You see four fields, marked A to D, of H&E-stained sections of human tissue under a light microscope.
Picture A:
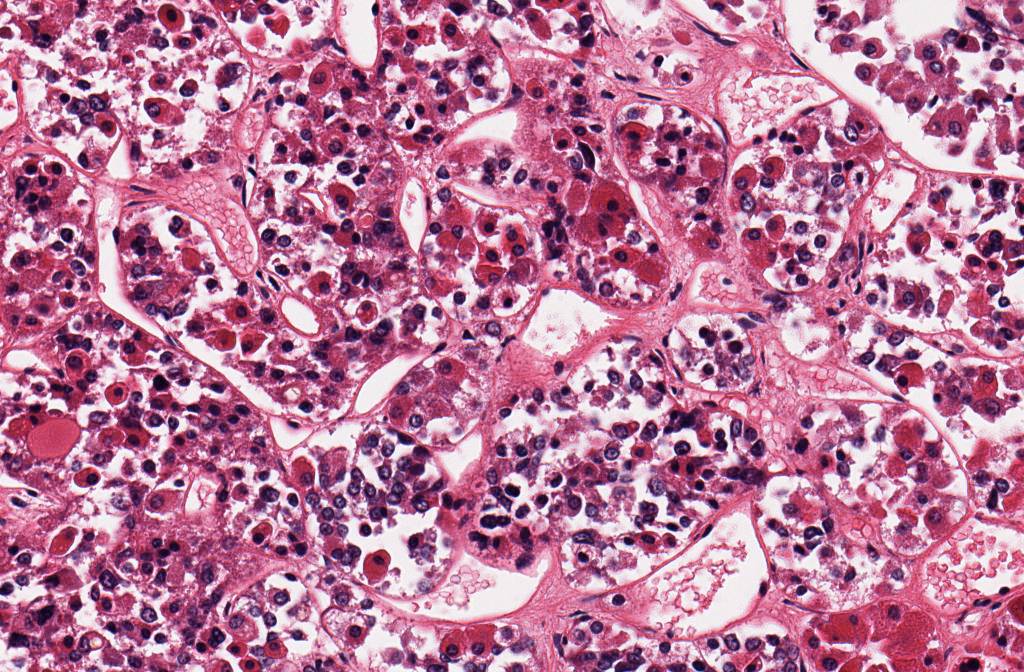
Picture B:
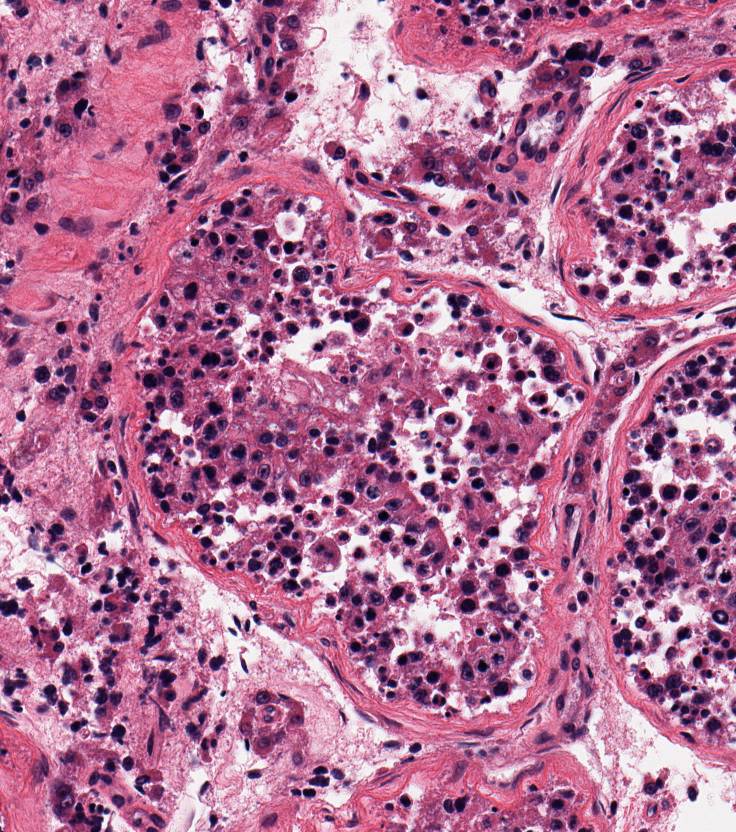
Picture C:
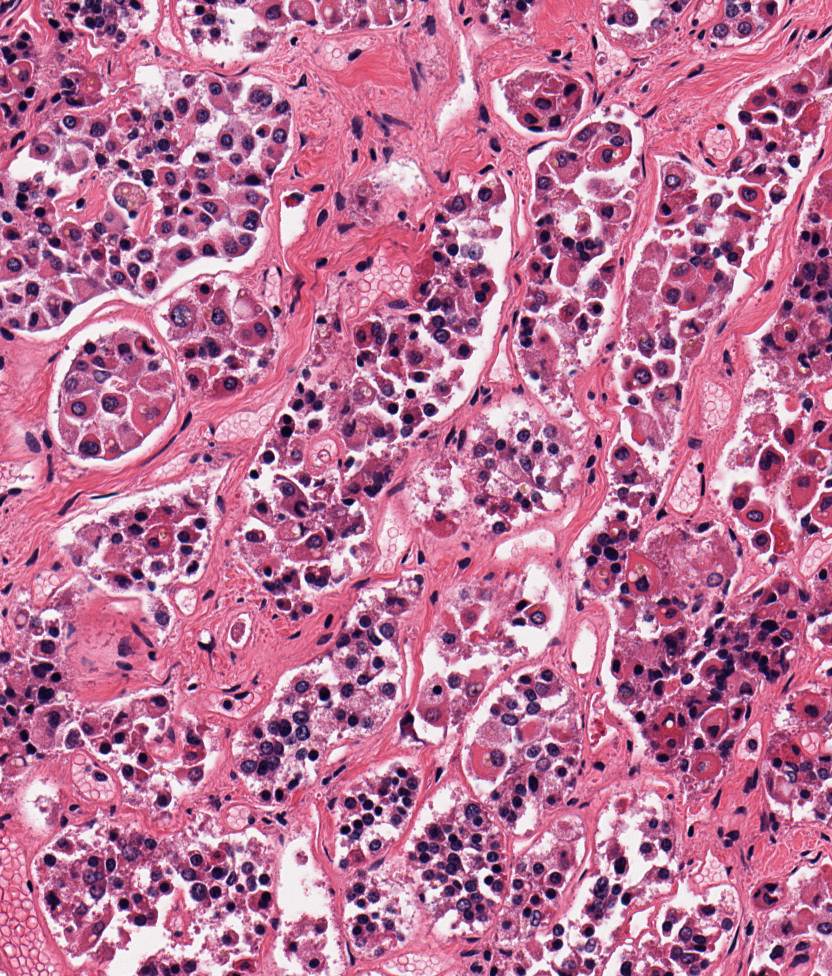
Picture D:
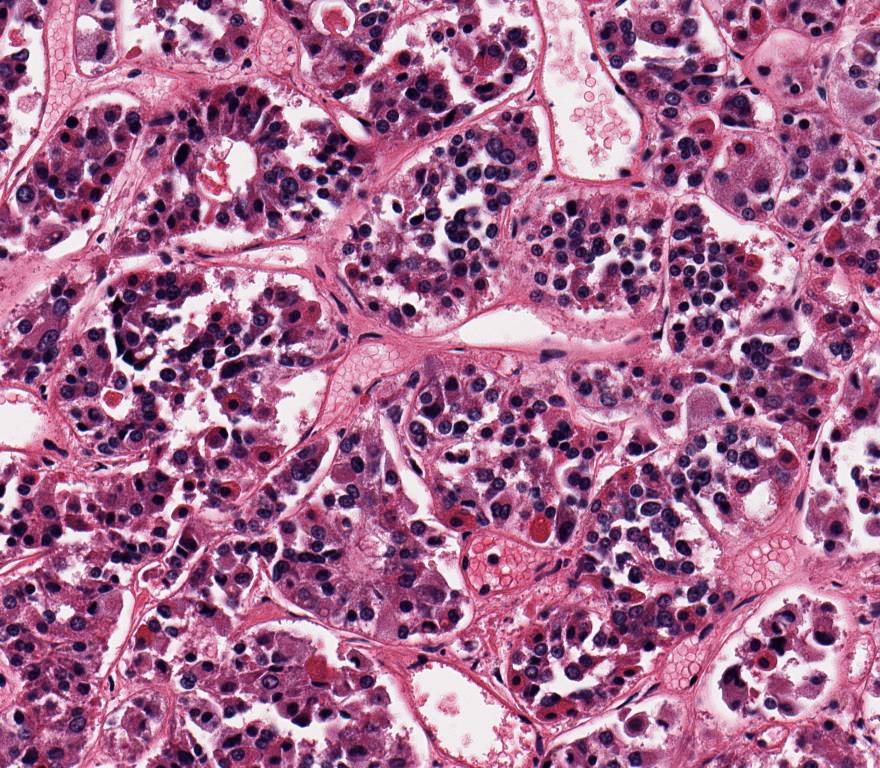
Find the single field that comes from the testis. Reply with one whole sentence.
Picture B is the field that comes from the testis.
